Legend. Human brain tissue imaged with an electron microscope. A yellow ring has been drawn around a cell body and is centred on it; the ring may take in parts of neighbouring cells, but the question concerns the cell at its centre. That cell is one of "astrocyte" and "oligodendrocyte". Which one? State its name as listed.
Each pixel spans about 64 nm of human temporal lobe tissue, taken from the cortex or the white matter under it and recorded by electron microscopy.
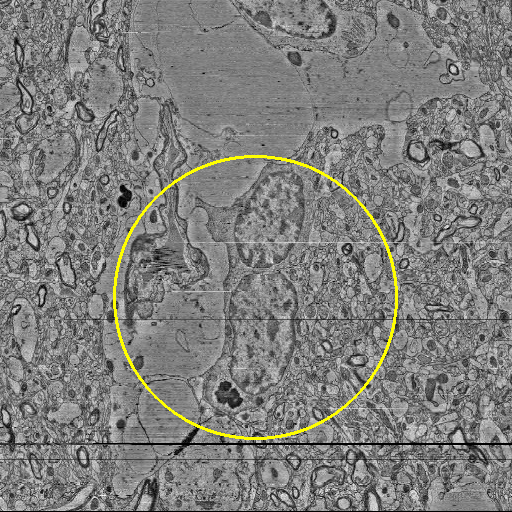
oligodendrocyte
